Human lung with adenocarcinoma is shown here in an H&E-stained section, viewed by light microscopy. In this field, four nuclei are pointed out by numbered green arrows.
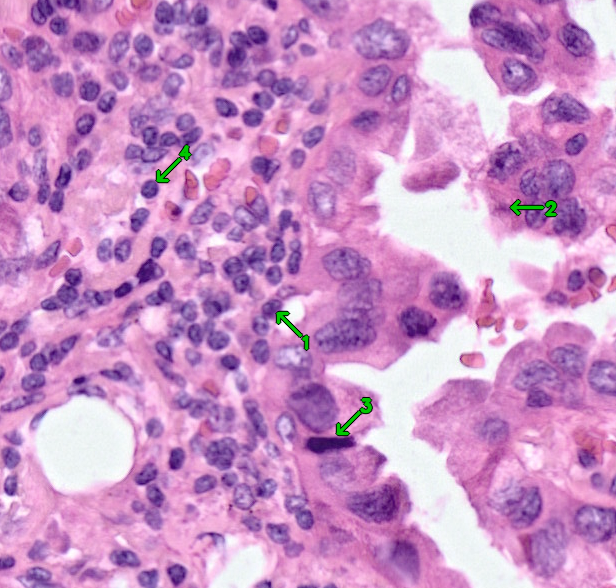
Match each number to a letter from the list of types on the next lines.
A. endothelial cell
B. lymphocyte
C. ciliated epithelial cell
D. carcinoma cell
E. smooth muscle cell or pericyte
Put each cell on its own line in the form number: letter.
1: B
2: D
3: D
4: B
